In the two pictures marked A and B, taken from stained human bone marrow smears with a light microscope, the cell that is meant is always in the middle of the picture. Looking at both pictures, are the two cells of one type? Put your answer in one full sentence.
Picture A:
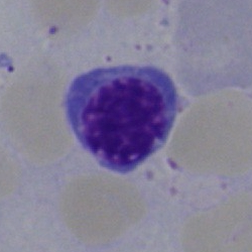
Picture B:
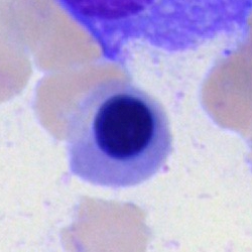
Yes, the two pictures both show erythroblasts.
